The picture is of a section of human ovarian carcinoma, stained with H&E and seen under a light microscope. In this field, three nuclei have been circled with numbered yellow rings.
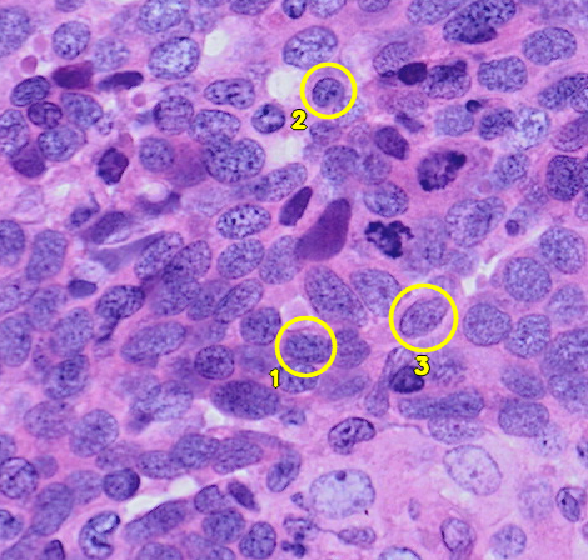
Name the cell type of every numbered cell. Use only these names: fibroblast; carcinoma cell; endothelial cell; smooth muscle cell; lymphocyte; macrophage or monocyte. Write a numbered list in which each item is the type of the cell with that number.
1. carcinoma cell
2. macrophage or monocyte
3. carcinoma cell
